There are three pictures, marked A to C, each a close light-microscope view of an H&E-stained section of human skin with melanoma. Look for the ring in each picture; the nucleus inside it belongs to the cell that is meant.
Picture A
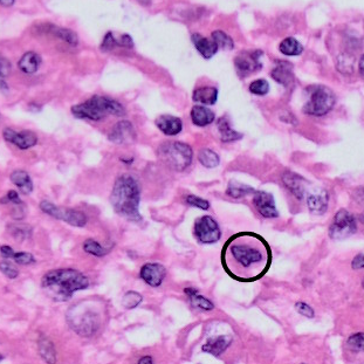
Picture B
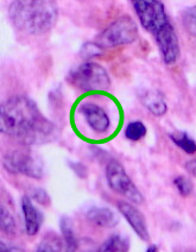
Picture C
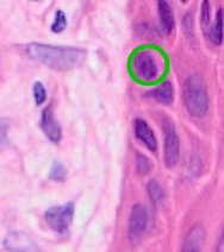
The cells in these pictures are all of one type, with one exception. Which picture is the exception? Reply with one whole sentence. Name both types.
All pictures except C show “macrophages or monocytes”; picture C shows a keratinocyte.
